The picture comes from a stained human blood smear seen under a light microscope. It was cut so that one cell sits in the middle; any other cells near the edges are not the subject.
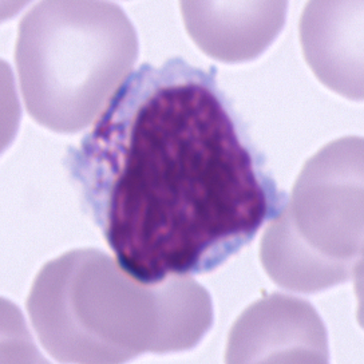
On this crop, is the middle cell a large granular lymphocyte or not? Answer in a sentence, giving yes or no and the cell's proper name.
Yes, the middle cell in this crop is a large granular lymphocyte.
